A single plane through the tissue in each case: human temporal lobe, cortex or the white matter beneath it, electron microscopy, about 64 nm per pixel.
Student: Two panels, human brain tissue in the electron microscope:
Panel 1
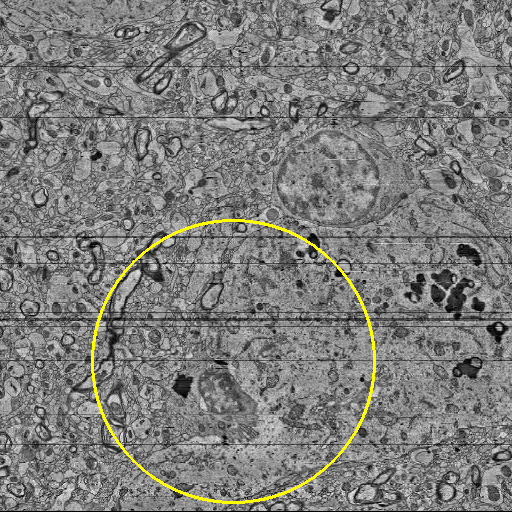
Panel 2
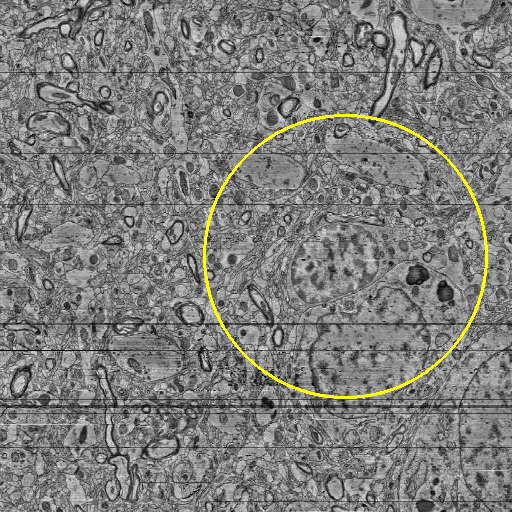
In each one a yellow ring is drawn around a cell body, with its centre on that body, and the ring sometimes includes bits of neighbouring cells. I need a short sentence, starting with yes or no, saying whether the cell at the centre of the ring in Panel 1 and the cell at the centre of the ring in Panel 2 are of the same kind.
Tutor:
Yes, they are the same kind of cell.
